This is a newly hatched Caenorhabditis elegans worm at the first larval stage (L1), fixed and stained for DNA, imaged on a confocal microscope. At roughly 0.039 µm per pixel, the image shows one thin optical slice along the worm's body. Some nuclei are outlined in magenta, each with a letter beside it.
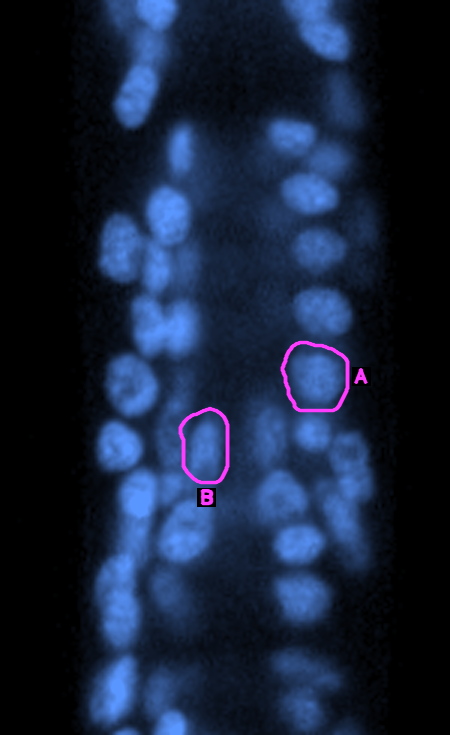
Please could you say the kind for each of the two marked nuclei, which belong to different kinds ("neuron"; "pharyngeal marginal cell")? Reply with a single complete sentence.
A belongs to a neuron and B to a pharyngeal marginal cell.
